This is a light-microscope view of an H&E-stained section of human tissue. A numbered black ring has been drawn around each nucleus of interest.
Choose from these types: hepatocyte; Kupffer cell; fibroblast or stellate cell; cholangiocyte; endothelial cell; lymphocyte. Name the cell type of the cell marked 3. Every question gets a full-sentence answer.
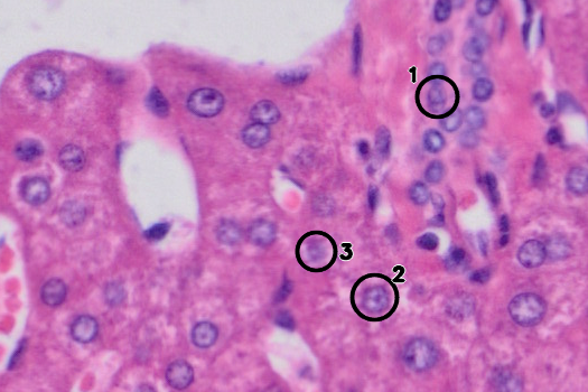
Number 3 among the marked cells is a hepatocyte.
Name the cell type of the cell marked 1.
In this section, the cell numbered 1 is a cholangiocyte.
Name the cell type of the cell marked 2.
Number 2 among the marked cells is a hepatocyte.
